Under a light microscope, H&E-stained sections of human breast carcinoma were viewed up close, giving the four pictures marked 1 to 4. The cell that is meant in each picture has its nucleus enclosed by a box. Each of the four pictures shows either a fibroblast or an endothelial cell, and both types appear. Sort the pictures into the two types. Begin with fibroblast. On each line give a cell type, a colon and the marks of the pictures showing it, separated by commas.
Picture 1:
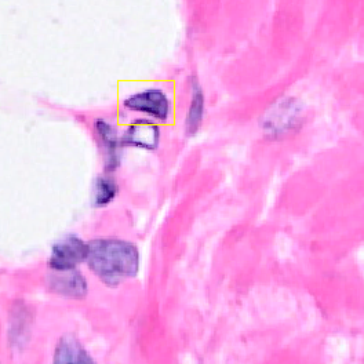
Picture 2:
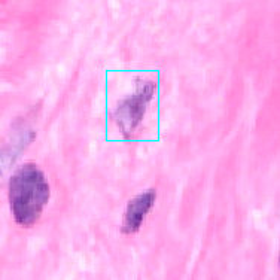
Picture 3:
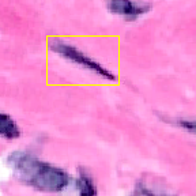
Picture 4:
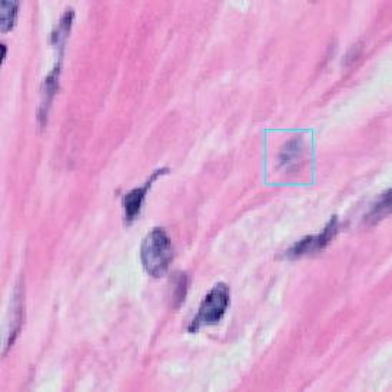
fibroblast: 2, 3, 4
endothelial cell: 1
